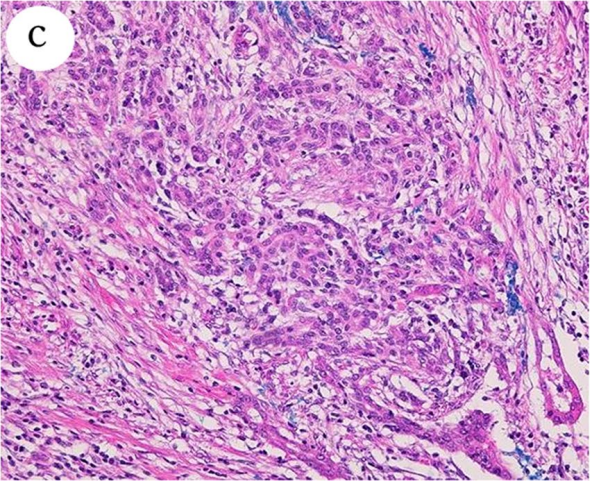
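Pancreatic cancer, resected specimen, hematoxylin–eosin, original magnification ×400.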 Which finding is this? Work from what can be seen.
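Atypical epithelial cells with enlarged, crowded nuclei form irregular cords and small gland-like clusters. The clusters lie within pink fibrous stroma with spindle-shaped cells.
Invasive ductal carcinoma.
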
